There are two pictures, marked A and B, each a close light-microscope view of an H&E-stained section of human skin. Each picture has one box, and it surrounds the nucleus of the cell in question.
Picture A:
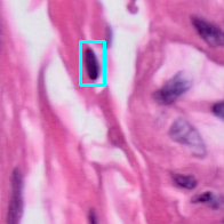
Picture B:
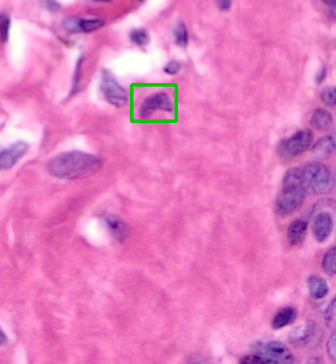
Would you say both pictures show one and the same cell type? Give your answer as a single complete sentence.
Yes, they are the same type: both are fibroblasts.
